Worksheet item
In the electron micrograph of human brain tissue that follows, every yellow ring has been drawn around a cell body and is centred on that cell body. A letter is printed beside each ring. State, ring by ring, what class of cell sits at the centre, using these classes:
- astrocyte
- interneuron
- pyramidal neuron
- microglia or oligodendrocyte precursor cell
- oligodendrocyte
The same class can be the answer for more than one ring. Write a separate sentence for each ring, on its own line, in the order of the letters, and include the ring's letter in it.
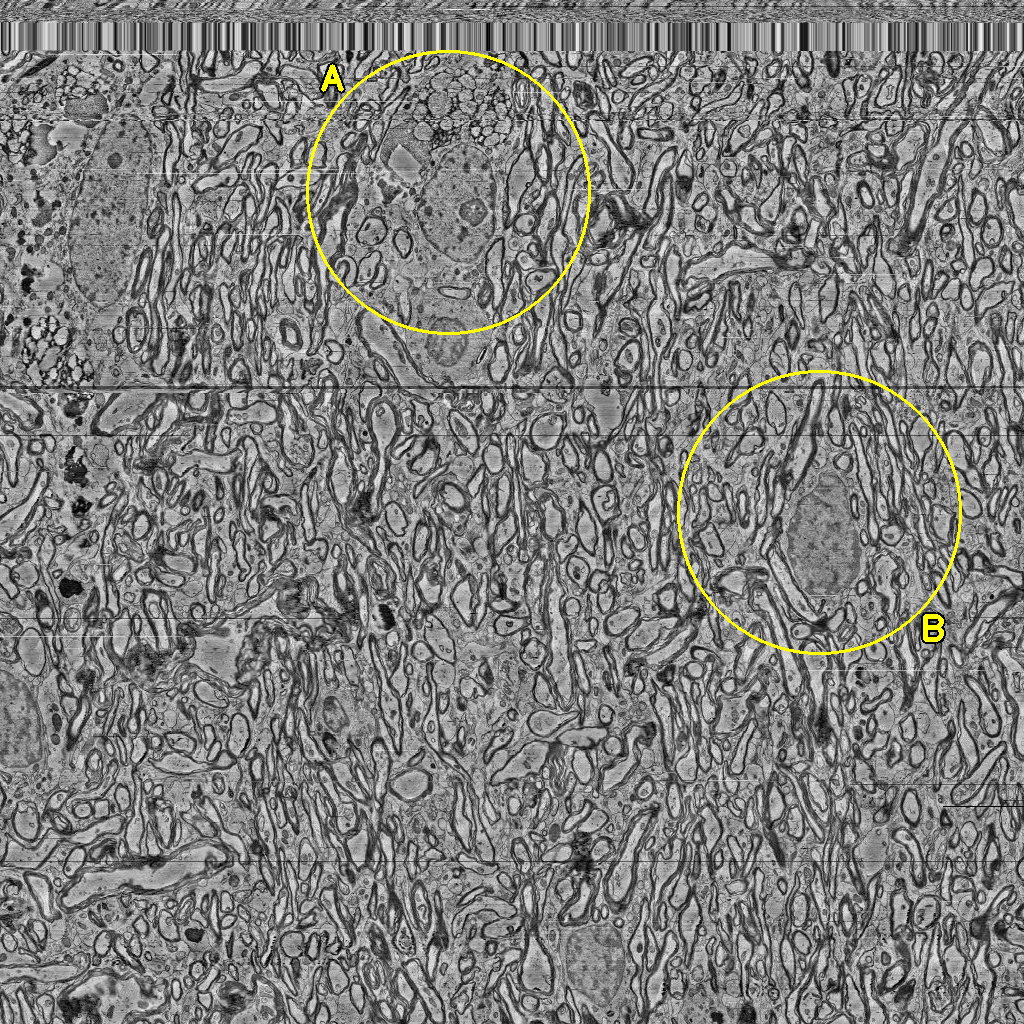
At the centre of ring A sits an astrocyte.
At the centre of ring B sits an oligodendrocyte.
